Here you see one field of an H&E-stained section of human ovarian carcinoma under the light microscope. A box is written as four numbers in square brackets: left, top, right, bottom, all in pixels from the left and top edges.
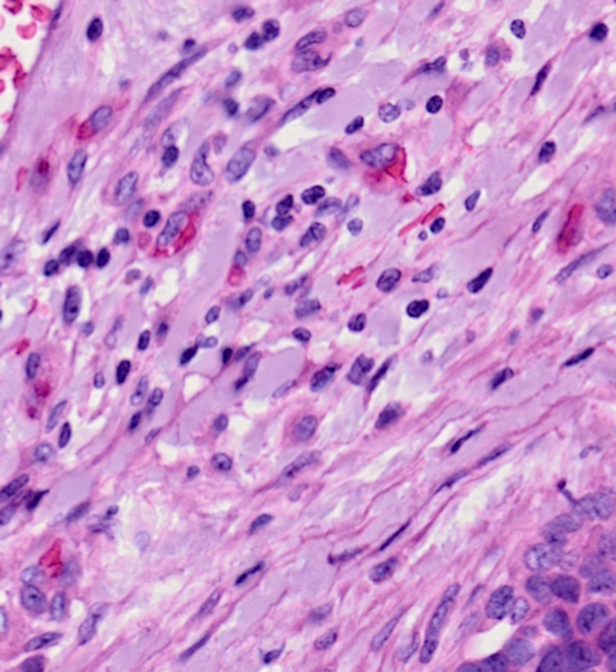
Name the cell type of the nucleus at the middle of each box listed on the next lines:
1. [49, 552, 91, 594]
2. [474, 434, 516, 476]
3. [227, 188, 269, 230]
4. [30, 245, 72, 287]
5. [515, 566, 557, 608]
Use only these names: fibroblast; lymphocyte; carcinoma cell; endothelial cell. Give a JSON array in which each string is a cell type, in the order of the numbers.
["endothelial cell", "fibroblast", "lymphocyte", "lymphocyte", "carcinoma cell"]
